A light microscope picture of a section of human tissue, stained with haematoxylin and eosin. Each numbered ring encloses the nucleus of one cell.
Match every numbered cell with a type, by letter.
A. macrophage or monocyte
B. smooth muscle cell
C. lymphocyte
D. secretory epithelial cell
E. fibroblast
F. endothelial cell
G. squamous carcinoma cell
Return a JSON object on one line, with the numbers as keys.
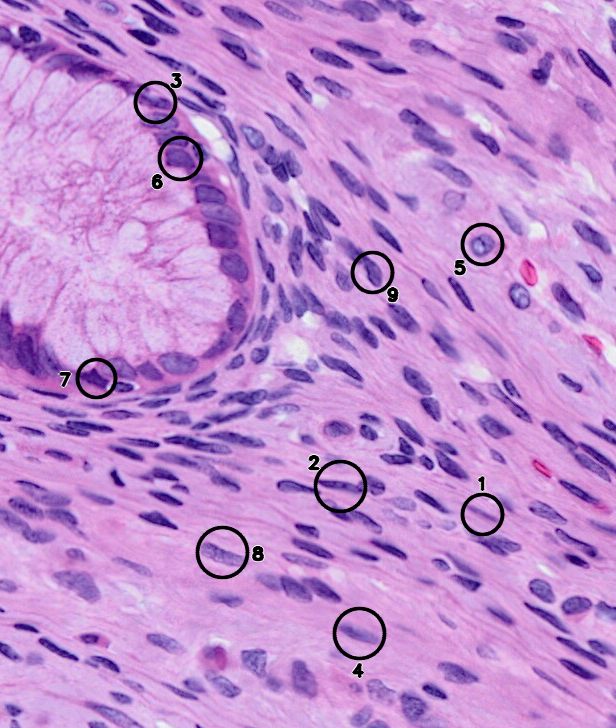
{"1": "E", "2": "E", "3": "D", "4": "E", "5": "F", "6": "D", "7": "D", "8": "E", "9": "E"}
